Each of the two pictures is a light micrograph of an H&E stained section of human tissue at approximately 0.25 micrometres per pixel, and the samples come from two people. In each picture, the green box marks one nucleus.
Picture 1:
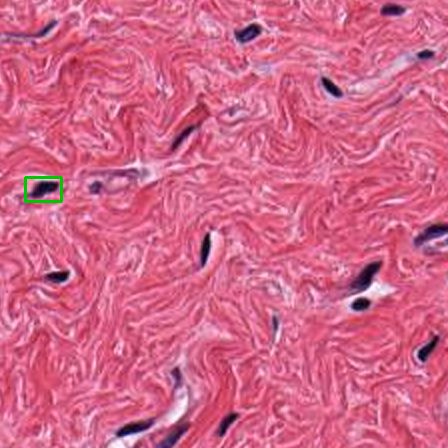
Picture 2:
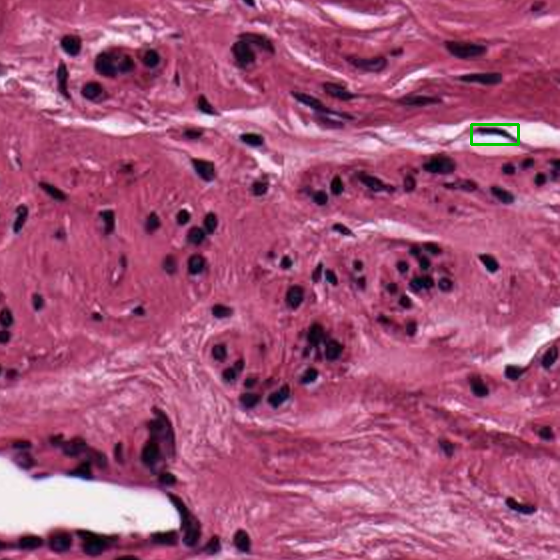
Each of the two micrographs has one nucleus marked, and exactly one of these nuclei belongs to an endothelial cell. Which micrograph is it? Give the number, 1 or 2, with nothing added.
2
